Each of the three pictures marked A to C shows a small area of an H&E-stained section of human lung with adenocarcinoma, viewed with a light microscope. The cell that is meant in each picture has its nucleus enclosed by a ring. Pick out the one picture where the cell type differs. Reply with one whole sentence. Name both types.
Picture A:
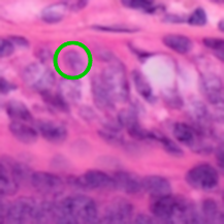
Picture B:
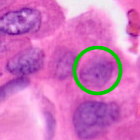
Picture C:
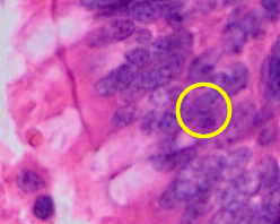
Unlike the rest, which show ciliated epithelial cells, picture B shows a carcinoma cell.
